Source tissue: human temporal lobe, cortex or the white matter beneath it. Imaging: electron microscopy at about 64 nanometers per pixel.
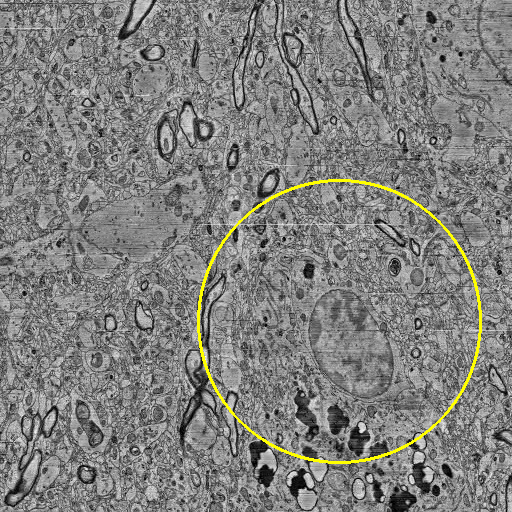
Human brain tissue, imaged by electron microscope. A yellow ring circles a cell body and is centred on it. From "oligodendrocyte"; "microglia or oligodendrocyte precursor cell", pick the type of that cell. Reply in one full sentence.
The cell body at the centre of the yellow ring belongs to an oligodendrocyte.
